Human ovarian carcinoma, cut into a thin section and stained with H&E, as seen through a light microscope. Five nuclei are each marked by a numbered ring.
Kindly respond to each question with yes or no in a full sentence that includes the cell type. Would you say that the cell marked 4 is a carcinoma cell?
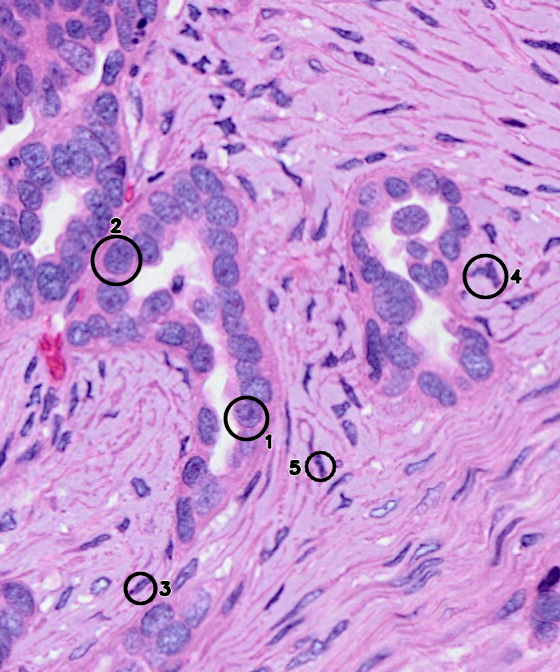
No, the cell with number 4 is not a carcinoma cell but a fibroblast.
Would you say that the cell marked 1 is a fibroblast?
No, the marked cell 1 is not a fibroblast, being instead a carcinoma cell.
